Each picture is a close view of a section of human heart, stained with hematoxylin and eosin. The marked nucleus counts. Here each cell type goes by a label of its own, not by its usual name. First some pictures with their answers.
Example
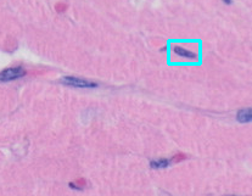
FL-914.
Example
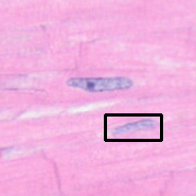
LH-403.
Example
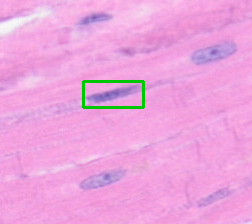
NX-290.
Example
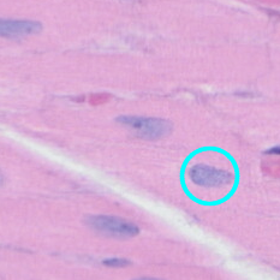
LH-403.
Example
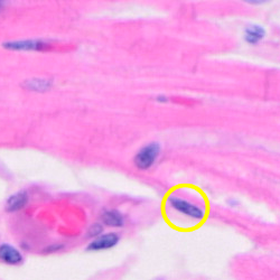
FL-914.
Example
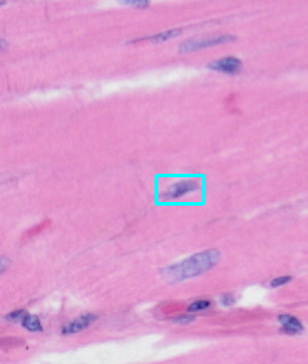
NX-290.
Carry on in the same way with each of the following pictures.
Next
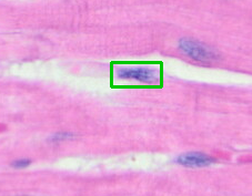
NX-290.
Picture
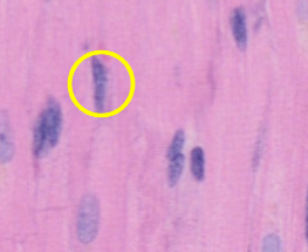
NX-290.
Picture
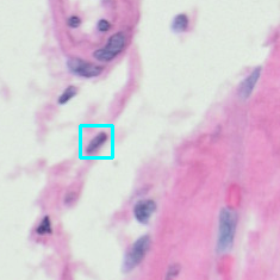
FL-914.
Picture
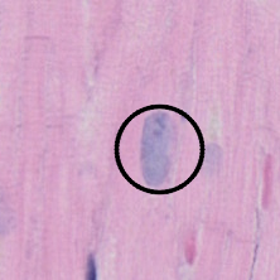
LH-403.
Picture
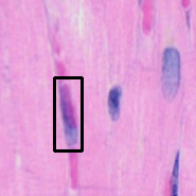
NX-290.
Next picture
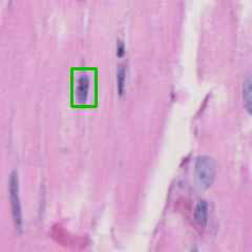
NX-290.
